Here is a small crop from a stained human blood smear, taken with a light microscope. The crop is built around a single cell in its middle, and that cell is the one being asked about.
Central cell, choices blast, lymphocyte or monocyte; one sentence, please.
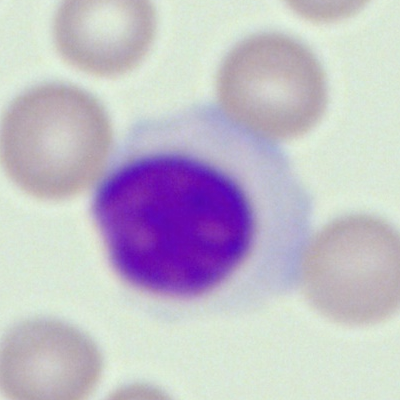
The cell nearest the centre of this crop is a lymphocyte.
